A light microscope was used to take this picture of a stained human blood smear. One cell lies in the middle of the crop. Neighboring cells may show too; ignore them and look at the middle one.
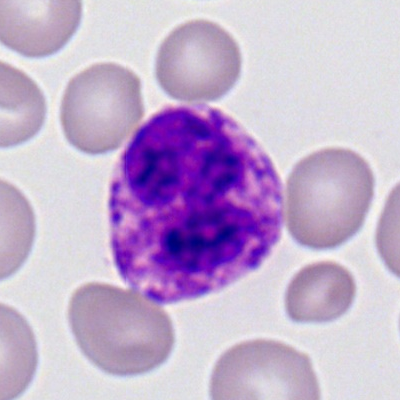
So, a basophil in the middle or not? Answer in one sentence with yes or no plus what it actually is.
Yes, the cell located at the center is a basophil.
